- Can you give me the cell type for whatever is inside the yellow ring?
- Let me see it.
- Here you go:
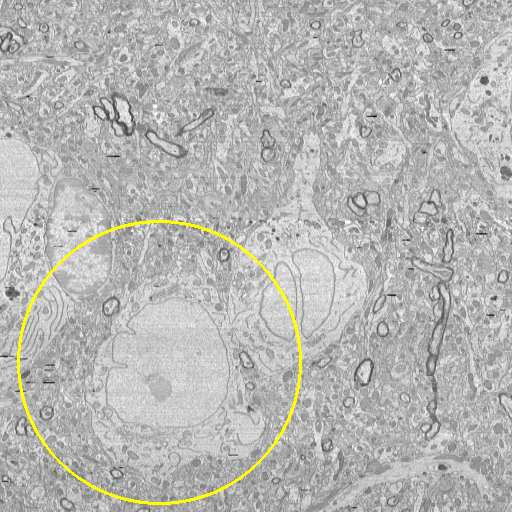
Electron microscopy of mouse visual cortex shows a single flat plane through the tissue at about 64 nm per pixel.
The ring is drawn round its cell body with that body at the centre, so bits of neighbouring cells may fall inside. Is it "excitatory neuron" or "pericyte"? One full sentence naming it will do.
The cell body in the middle of the ring in this picture belongs to an excitatory neuron.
